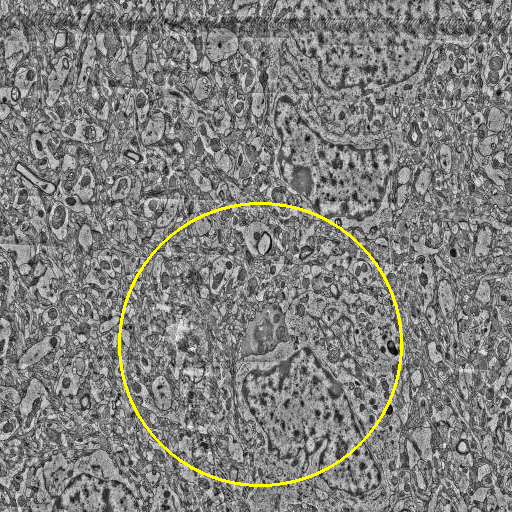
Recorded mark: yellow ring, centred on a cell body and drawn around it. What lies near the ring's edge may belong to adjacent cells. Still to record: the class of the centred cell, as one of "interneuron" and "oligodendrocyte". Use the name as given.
oligodendrocyte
